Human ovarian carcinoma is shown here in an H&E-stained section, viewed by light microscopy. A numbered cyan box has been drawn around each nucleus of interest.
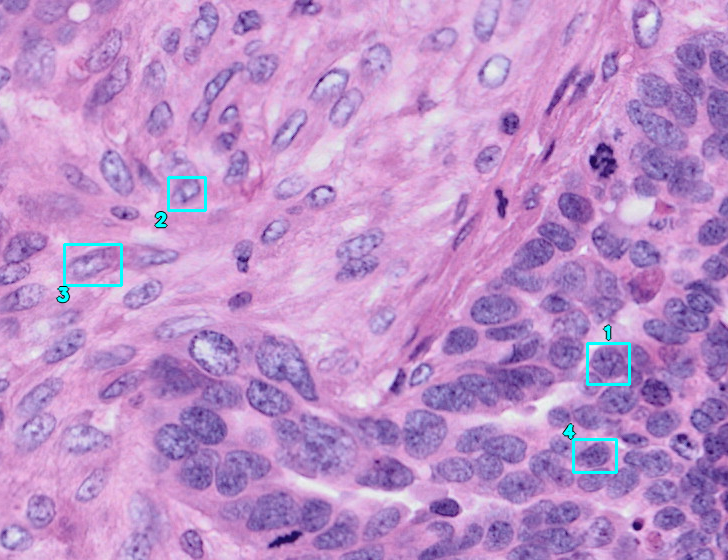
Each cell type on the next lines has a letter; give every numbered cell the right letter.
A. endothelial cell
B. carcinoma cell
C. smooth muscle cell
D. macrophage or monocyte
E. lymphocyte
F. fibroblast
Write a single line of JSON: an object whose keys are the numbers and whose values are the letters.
{"1": "B", "2": "F", "3": "F", "4": "B"}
